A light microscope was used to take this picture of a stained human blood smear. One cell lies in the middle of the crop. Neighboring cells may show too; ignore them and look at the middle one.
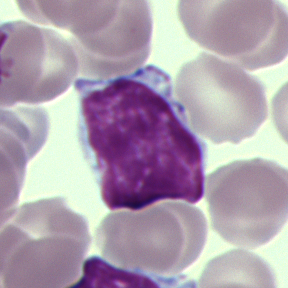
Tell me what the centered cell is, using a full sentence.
What the crop centres on is a lymphocyte.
